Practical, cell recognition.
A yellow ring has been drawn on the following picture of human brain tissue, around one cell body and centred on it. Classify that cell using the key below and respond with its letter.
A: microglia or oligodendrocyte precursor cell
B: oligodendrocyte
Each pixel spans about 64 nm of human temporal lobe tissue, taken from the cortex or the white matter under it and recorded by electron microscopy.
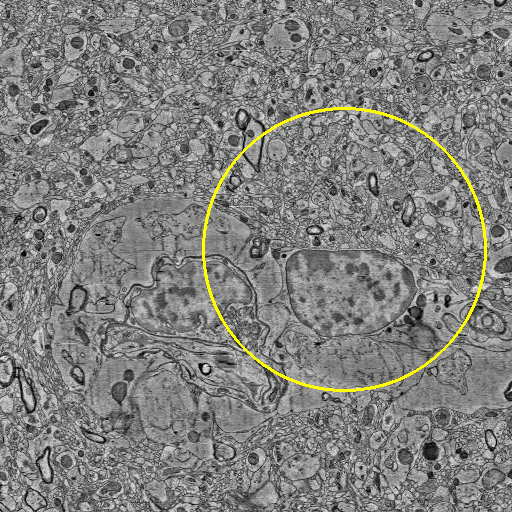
A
